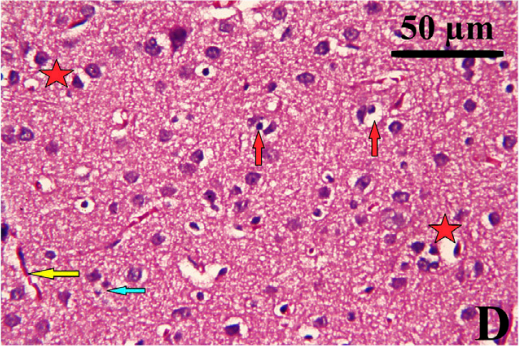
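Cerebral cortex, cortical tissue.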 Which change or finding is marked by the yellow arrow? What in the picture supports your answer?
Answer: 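Congested blood vessels. The marked structure is a slender channel filled with red material.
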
